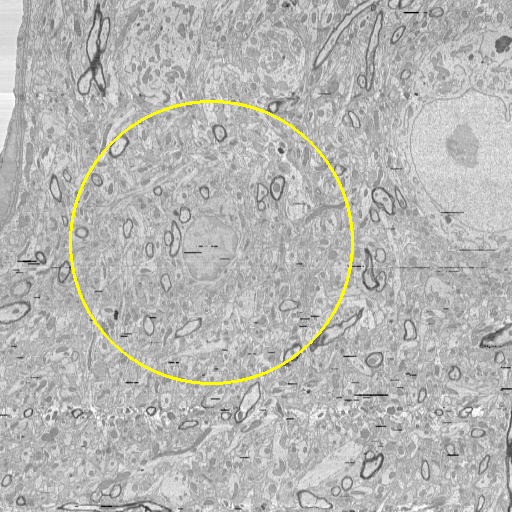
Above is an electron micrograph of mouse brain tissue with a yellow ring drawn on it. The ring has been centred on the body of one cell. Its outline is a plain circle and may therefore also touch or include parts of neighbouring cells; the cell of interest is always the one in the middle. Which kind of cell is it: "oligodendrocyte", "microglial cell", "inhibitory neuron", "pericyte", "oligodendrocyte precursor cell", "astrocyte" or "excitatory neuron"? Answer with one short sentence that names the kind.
The ring's central cell body is that of a microglial cell.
